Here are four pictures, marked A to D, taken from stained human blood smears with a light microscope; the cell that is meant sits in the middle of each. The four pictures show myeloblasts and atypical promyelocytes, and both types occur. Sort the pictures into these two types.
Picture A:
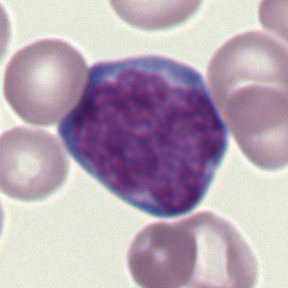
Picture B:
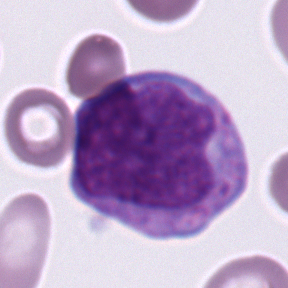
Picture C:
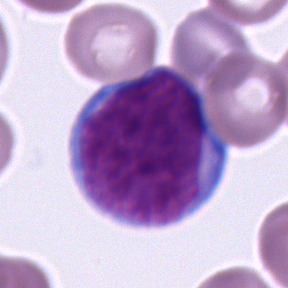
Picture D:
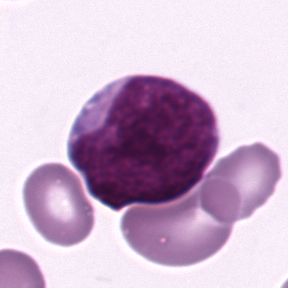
A: myeloblast
B: atypical promyelocyte
C: myeloblast
D: myeloblast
